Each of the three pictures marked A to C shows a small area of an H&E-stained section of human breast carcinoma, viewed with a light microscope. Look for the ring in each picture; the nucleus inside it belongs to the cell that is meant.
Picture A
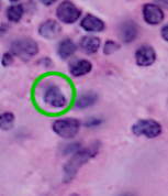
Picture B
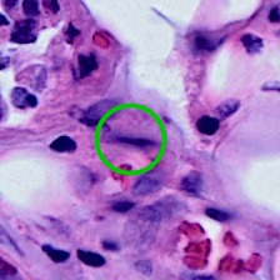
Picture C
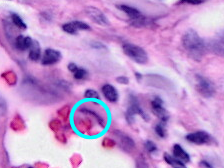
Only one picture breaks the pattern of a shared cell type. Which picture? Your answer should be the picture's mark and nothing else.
A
